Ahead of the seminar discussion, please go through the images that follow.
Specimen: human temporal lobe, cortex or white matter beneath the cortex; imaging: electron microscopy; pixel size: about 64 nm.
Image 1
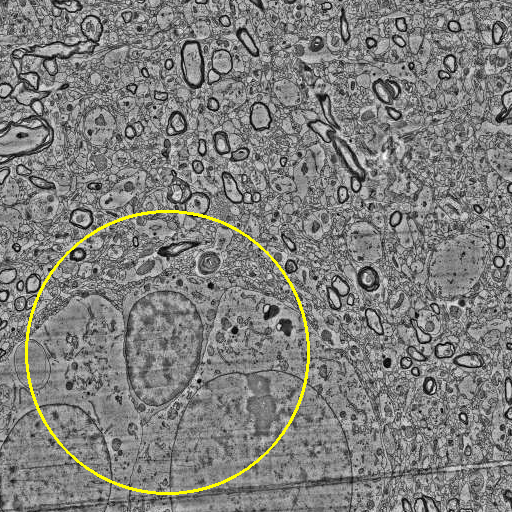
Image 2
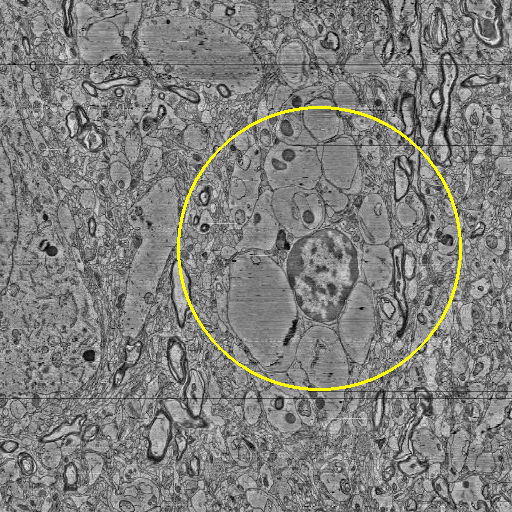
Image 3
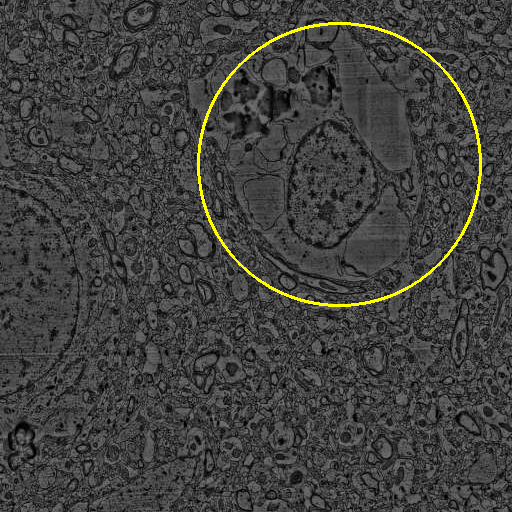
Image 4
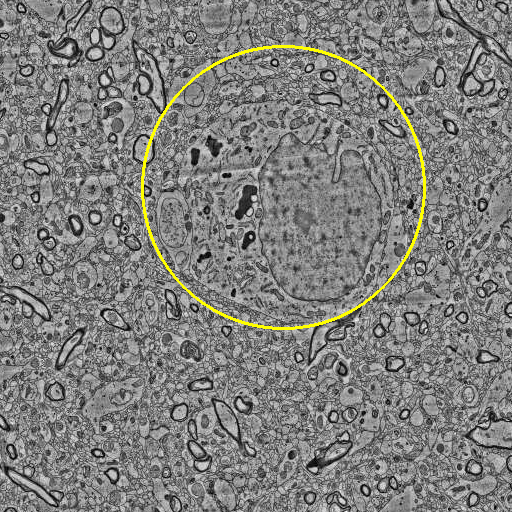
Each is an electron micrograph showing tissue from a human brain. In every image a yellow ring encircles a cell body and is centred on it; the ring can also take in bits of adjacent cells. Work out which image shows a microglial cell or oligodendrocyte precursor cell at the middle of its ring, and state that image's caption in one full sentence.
In Image 2, the ring's centre holds the cell you are looking for.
